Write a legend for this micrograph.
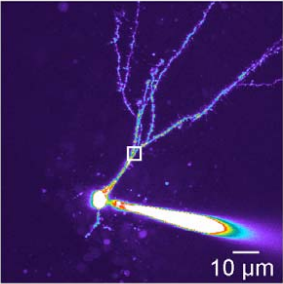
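One main dendrite leaves the cell body and soon splits into several branches that run upward, their surfaces covered by many small spines. A small white box marks the main dendrite just before its first branch point.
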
